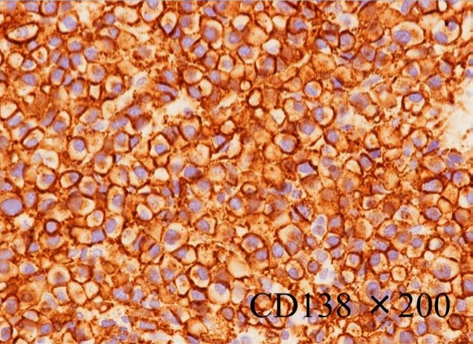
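This section shows a diffuse sheet of tumor plasma cells strongly outlined by brown staining. The brown colour is concentrated at the cell borders, giving a honeycomb or chicken-wire pattern across the field. Blue round nuclei are visible within the brown-rimmed cells, many set to one side. Almost every cell in the field is stained, with only small pale gaps between groups.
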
